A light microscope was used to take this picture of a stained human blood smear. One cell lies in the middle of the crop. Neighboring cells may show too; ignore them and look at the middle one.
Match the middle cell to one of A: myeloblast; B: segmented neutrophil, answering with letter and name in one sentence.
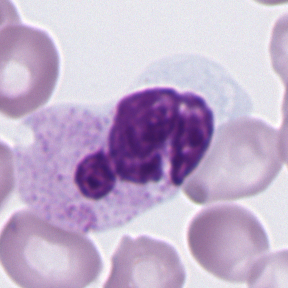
Option B is correct here, and the cell in the middle is a segmented neutrophil.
